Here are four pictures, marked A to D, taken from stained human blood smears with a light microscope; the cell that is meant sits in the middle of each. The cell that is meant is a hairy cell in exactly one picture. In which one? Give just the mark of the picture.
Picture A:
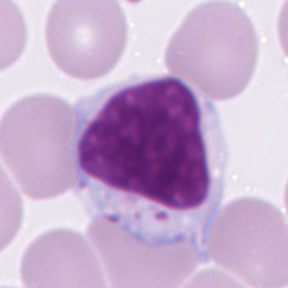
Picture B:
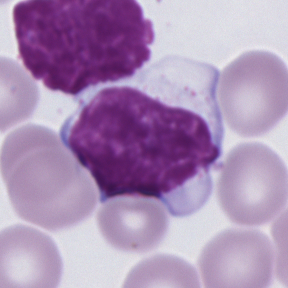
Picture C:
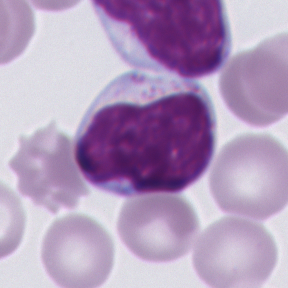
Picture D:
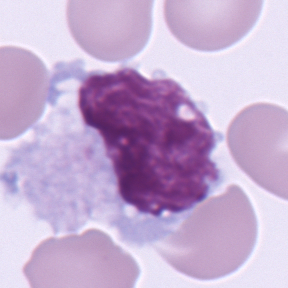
D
